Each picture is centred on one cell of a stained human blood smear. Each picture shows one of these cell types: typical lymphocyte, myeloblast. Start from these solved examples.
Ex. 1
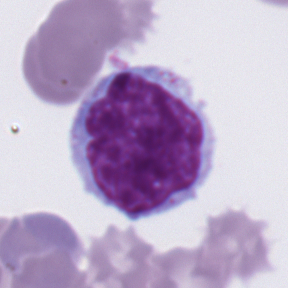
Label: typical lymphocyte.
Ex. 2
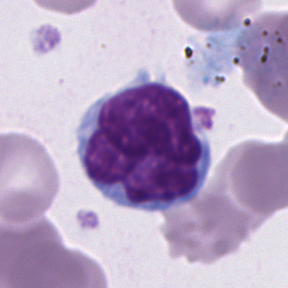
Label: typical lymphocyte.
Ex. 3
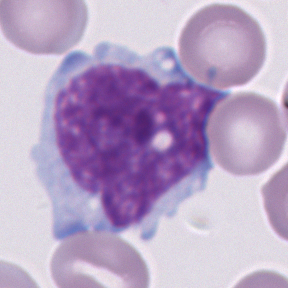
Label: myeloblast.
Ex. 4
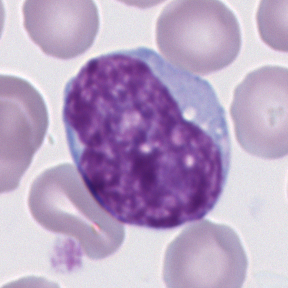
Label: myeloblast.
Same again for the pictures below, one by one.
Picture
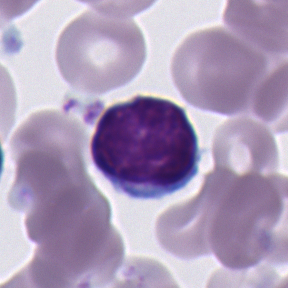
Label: typical lymphocyte.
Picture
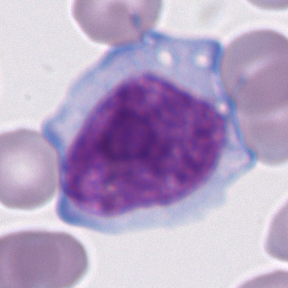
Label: myeloblast.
